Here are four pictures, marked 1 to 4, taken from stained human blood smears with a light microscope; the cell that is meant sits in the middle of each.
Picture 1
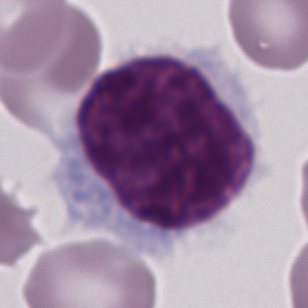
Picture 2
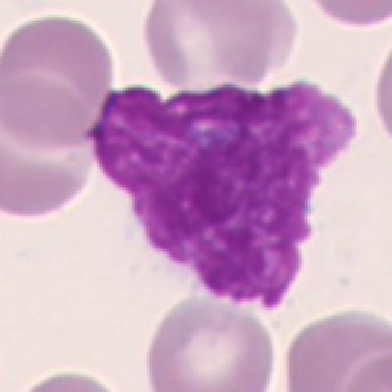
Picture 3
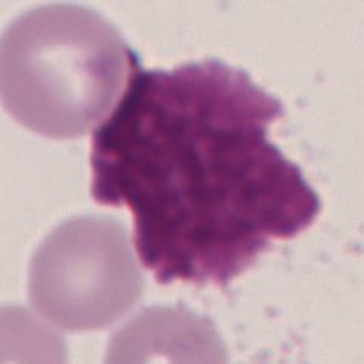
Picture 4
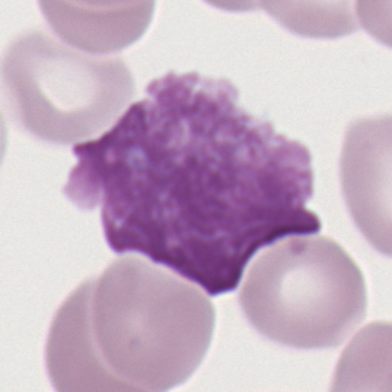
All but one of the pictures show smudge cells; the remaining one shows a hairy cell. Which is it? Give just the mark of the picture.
1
